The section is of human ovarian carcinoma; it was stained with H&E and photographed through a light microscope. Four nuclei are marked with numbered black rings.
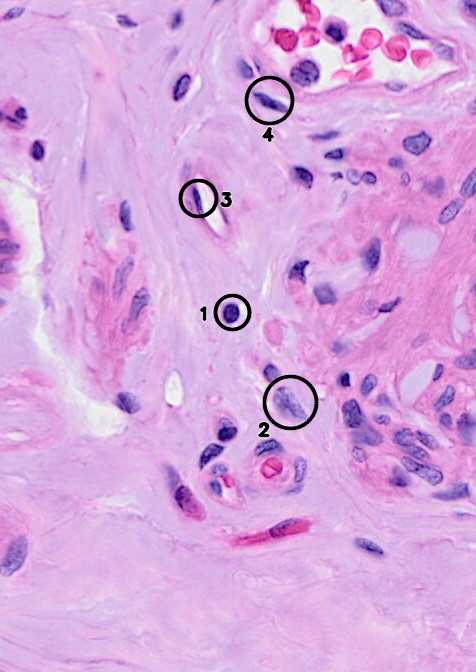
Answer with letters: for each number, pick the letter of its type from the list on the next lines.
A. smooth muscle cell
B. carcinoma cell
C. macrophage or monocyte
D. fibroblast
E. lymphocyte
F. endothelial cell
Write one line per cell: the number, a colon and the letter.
1: E
2: D
3: F
4: D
